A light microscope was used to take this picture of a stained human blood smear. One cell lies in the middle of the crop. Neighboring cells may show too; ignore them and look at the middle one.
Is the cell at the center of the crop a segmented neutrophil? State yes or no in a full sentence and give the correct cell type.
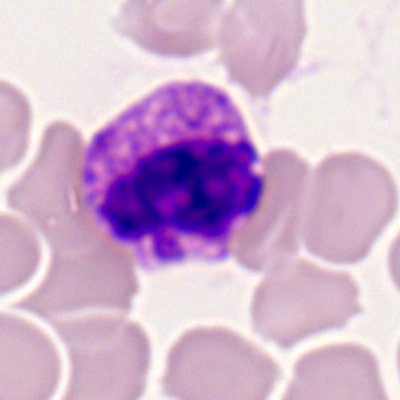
No, the identification should read a basophil, not a segmented neutrophil, for the central cell.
